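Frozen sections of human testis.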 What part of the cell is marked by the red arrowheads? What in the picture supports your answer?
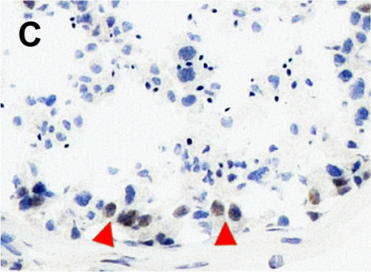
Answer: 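The arrowheads point at round dark brown bodies in cells at the base of the tubule.
Nuclei.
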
